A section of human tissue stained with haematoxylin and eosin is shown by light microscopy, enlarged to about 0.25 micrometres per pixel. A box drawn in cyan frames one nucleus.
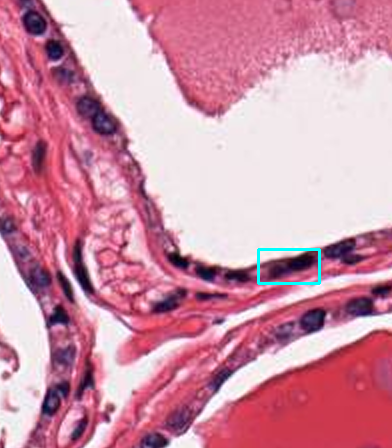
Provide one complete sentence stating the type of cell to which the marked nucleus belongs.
The marked nucleus lies within a thyroid follicular cell.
